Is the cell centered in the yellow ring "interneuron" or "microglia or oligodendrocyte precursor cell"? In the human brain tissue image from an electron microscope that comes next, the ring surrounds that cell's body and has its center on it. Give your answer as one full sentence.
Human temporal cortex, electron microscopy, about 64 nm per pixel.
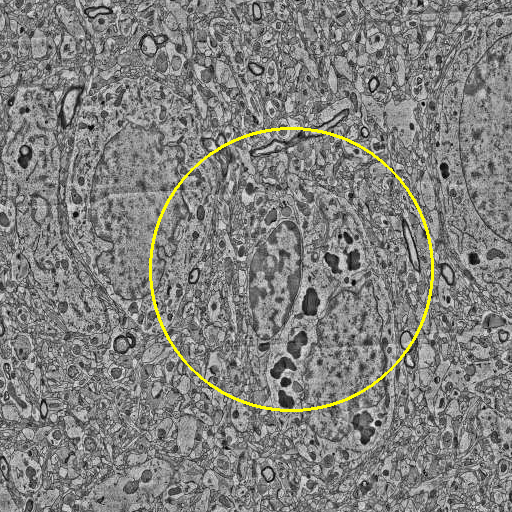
The cell at the center of the yellow ring is a microglial cell or oligodendrocyte precursor cell in the micrograph.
